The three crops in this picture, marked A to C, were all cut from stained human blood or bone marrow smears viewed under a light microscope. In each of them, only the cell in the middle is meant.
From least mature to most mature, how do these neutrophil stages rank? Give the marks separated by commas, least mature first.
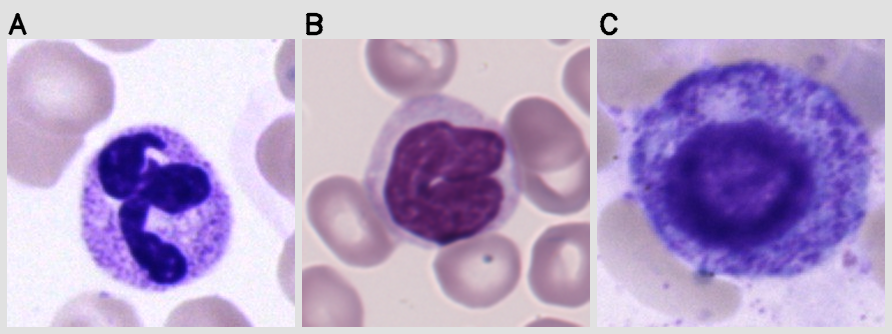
C, B, A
